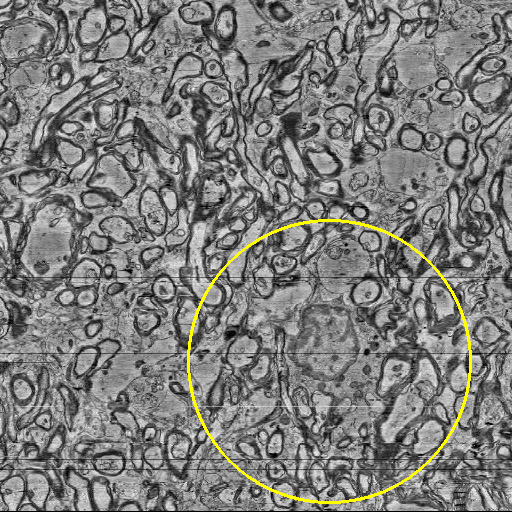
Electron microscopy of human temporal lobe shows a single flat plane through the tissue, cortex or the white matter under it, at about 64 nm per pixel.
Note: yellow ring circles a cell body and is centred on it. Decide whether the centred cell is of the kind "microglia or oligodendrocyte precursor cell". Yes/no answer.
No, the centred cell is of another kind.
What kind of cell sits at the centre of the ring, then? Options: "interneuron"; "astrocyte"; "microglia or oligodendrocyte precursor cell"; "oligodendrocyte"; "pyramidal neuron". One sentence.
Instead, the picture shows an oligodendrocyte at the centre of the ring.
